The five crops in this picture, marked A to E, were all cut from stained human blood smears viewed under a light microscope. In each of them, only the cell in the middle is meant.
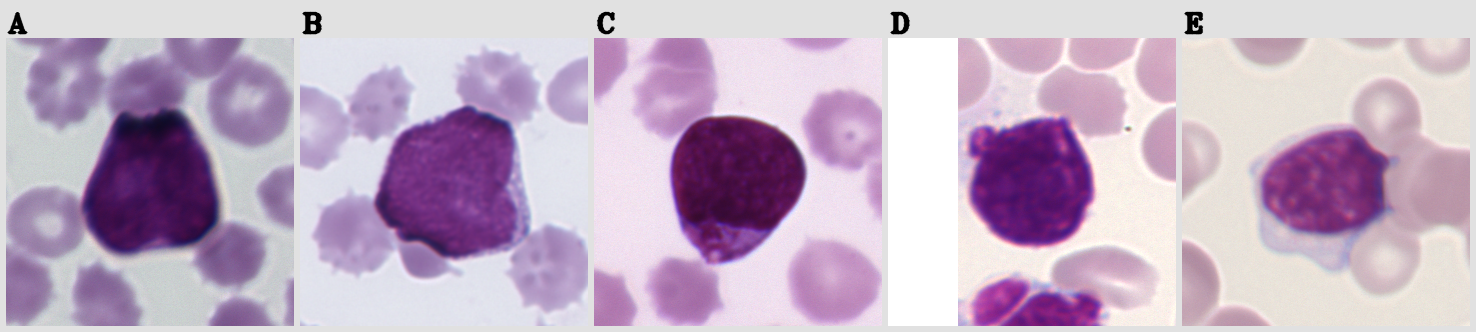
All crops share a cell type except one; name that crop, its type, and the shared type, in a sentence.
Of these crops, only crop E is a large granular lymphocyte; the others are myeloblasts.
